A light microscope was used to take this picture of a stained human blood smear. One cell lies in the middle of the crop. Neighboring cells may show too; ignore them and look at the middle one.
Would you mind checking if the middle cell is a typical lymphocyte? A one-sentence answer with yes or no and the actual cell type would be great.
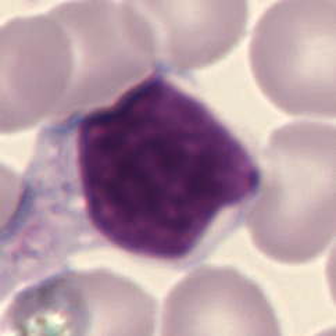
No, the central cell is classed as a large granular lymphocyte and not as a typical lymphocyte.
